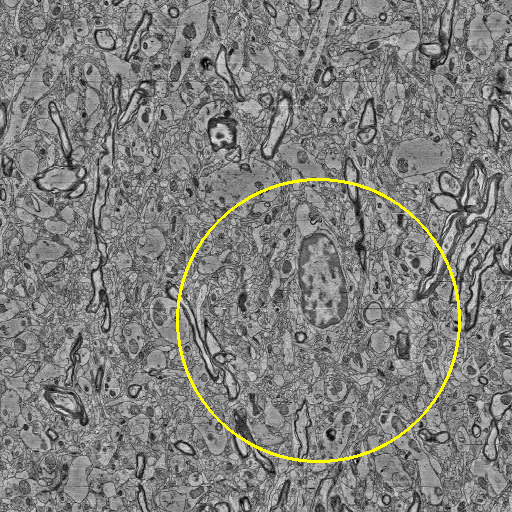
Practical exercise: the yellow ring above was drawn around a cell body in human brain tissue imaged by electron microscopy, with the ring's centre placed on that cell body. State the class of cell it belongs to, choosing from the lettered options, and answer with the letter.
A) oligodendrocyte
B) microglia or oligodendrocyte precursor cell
B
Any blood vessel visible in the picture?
No, none is visible.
